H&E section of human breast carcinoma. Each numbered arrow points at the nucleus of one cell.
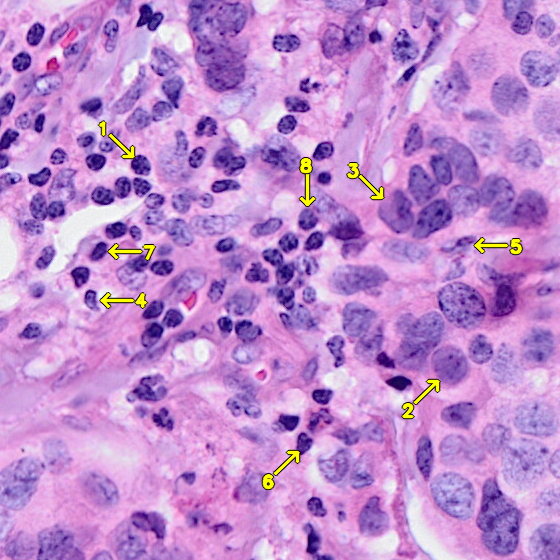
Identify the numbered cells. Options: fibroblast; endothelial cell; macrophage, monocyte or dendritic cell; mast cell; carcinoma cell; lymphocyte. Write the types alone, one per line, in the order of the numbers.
lymphocyte
carcinoma cell
carcinoma cell
lymphocyte
carcinoma cell
lymphocyte
lymphocyte
lymphocyte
